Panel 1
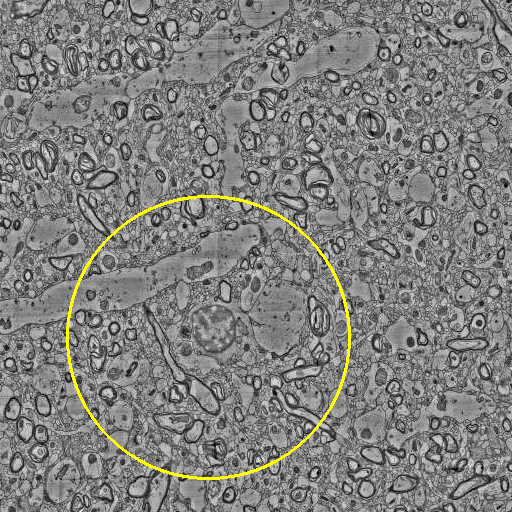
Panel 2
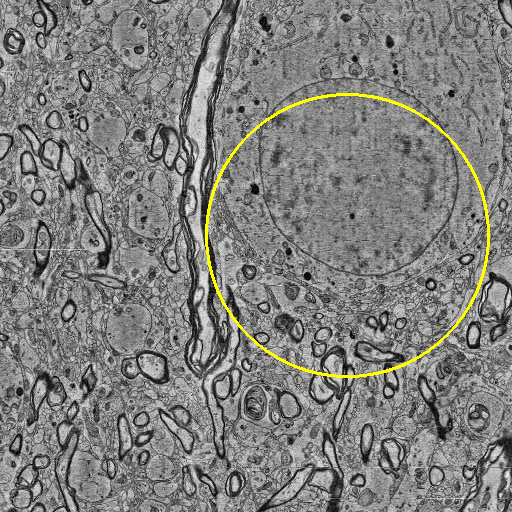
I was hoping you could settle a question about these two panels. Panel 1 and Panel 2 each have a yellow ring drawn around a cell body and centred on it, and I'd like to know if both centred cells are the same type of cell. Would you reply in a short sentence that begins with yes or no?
No, they are two types of cell.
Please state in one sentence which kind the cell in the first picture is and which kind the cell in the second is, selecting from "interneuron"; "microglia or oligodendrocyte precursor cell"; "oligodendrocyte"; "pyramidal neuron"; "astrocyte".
The first ringed cell is an oligodendrocyte, the second ringed cell a pyramidal neuron.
